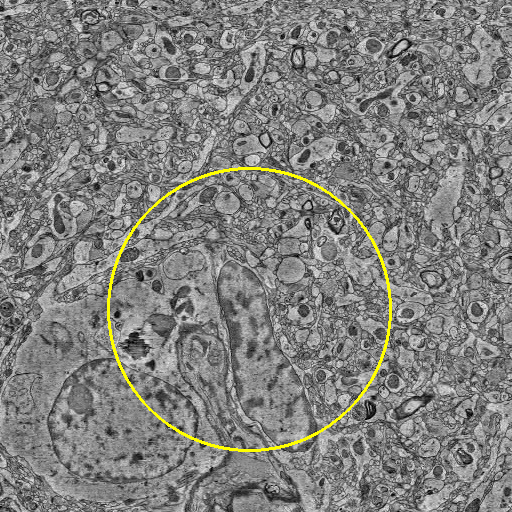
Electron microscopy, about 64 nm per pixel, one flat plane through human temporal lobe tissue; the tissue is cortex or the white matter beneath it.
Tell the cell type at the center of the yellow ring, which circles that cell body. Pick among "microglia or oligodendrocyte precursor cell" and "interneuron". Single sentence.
The ring is centered on the body of a microglial cell or oligodendrocyte precursor cell.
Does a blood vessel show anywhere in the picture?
Yes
